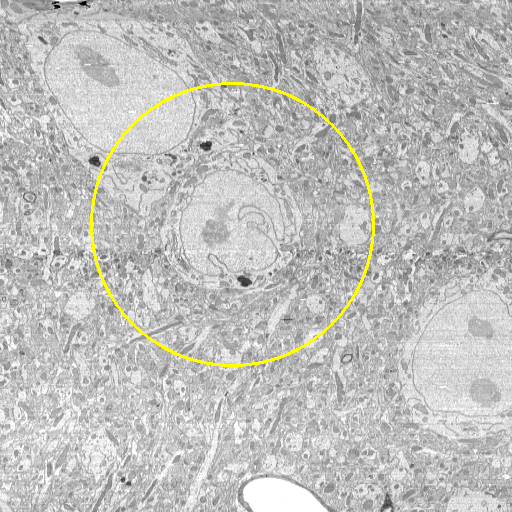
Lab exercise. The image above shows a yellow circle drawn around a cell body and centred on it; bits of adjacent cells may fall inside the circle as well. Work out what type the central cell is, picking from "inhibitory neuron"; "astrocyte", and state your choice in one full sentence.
In the image above, the cell at the centre of the yellow circle is an inhibitory neuron.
